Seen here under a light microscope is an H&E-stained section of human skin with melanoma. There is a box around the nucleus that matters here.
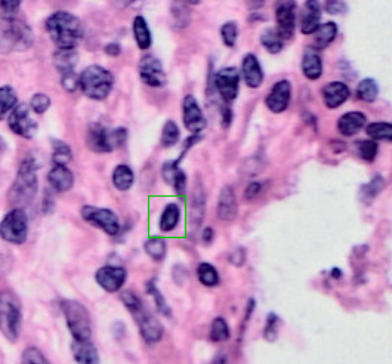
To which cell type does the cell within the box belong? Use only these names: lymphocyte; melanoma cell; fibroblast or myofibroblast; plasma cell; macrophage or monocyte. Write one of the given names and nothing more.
lymphocyte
